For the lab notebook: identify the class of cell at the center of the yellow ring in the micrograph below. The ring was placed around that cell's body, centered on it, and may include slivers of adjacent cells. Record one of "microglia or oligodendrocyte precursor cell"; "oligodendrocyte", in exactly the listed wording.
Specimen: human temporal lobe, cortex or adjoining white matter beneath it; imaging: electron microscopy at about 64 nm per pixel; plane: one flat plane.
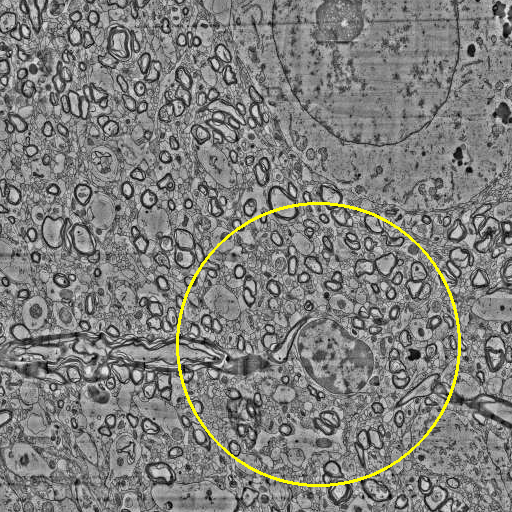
microglia or oligodendrocyte precursor cell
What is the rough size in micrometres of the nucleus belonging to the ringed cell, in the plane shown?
The nucleus has a long axis of about 5 micrometres and a short axis of about 4 micrometres in this plane.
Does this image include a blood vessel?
No, a blood vessel is absent from this picture.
